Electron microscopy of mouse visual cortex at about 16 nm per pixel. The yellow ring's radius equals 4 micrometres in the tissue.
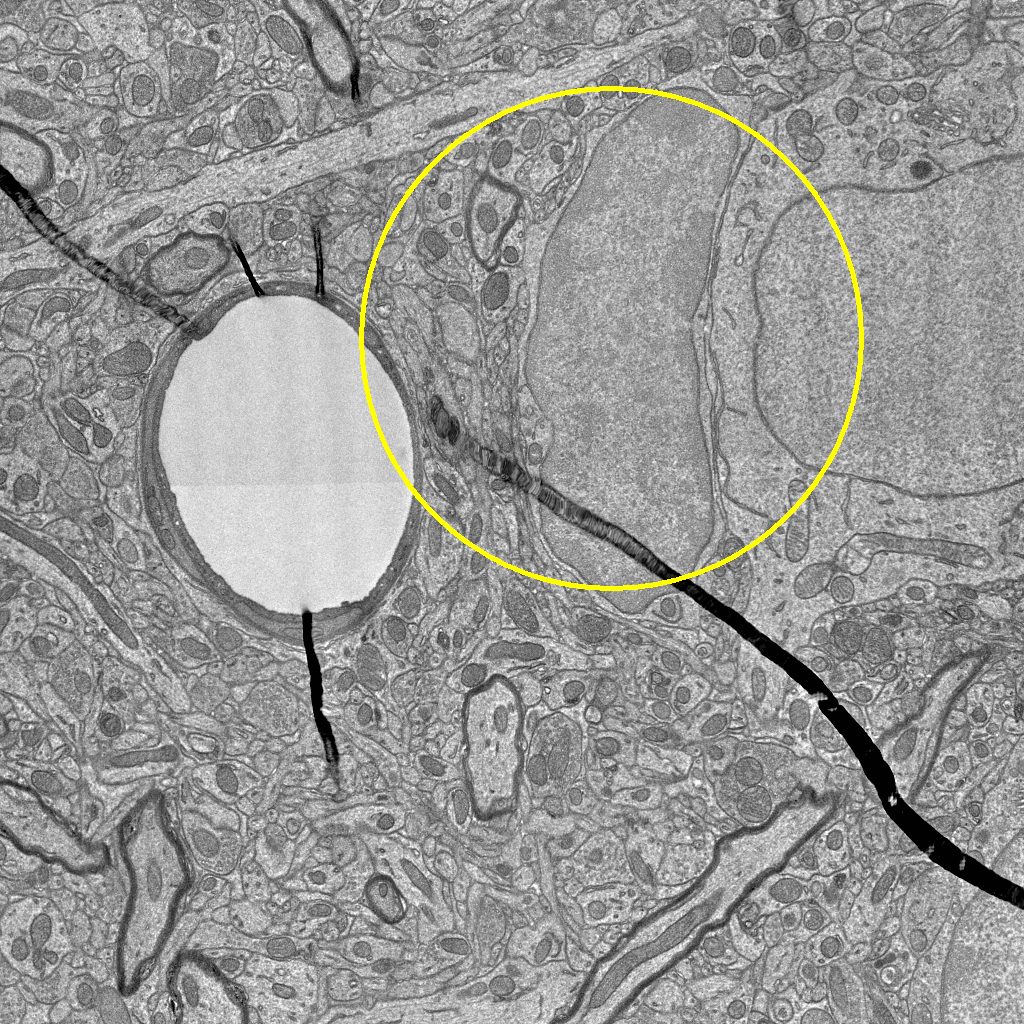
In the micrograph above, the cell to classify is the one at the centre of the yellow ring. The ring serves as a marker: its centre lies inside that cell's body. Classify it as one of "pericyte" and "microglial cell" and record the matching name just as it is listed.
microglial cell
